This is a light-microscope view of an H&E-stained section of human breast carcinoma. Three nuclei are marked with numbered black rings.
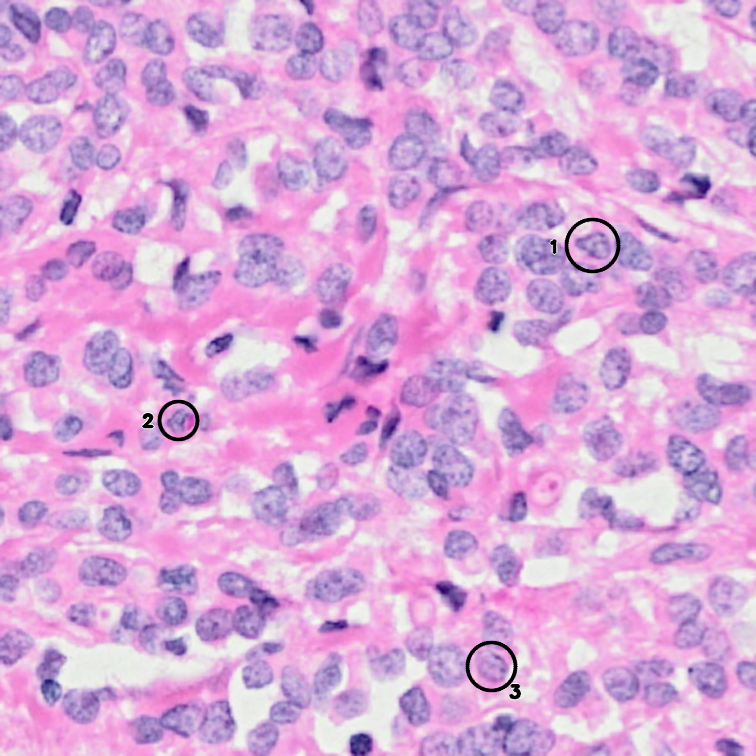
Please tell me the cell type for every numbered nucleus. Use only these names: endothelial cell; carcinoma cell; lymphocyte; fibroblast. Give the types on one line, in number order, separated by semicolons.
carcinoma cell; endothelial cell; carcinoma cell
